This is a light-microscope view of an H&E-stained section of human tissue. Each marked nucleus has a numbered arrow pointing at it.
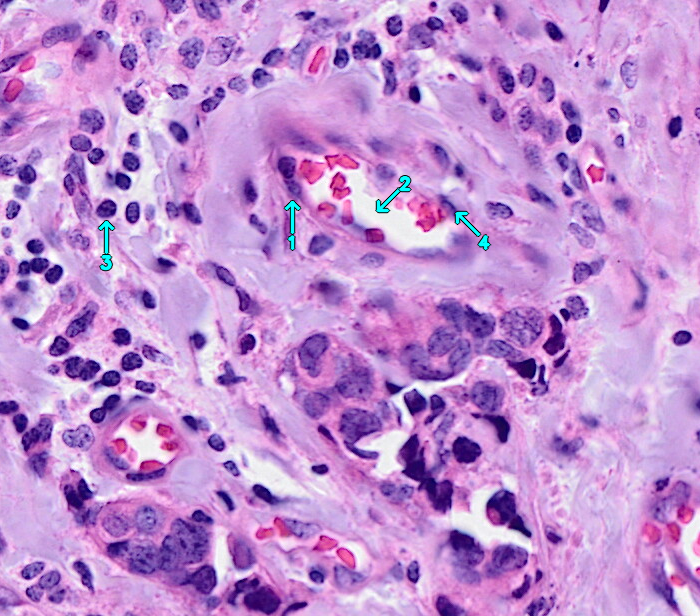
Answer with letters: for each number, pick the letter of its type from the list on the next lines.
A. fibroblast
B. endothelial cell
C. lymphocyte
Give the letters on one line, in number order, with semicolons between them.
B; B; C; B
